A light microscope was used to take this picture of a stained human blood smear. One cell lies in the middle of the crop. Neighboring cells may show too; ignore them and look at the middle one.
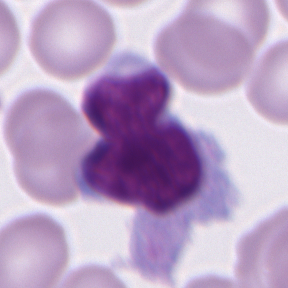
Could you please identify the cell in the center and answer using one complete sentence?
The cell centered in this field of view is a typical lymphocyte.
